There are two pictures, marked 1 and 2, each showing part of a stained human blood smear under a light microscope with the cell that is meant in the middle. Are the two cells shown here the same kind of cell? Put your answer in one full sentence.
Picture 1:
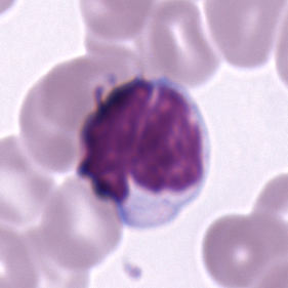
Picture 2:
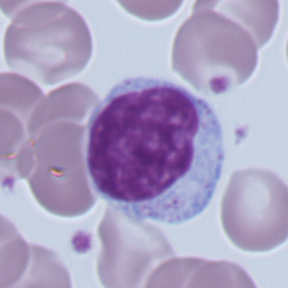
Yes, the two pictures both show large granular lymphocytes.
